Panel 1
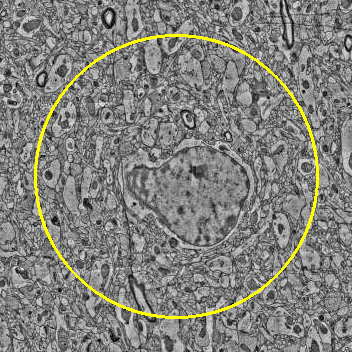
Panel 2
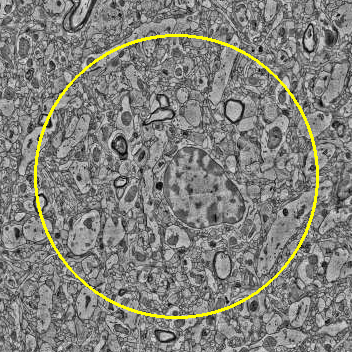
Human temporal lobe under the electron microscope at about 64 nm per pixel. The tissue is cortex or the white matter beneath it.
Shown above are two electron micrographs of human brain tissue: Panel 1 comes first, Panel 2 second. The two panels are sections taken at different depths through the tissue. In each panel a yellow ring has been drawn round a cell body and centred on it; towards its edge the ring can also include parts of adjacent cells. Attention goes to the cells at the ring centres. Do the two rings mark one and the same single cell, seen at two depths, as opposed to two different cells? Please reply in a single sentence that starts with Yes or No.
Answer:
No, the rings identify two cells, not one shared cell.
